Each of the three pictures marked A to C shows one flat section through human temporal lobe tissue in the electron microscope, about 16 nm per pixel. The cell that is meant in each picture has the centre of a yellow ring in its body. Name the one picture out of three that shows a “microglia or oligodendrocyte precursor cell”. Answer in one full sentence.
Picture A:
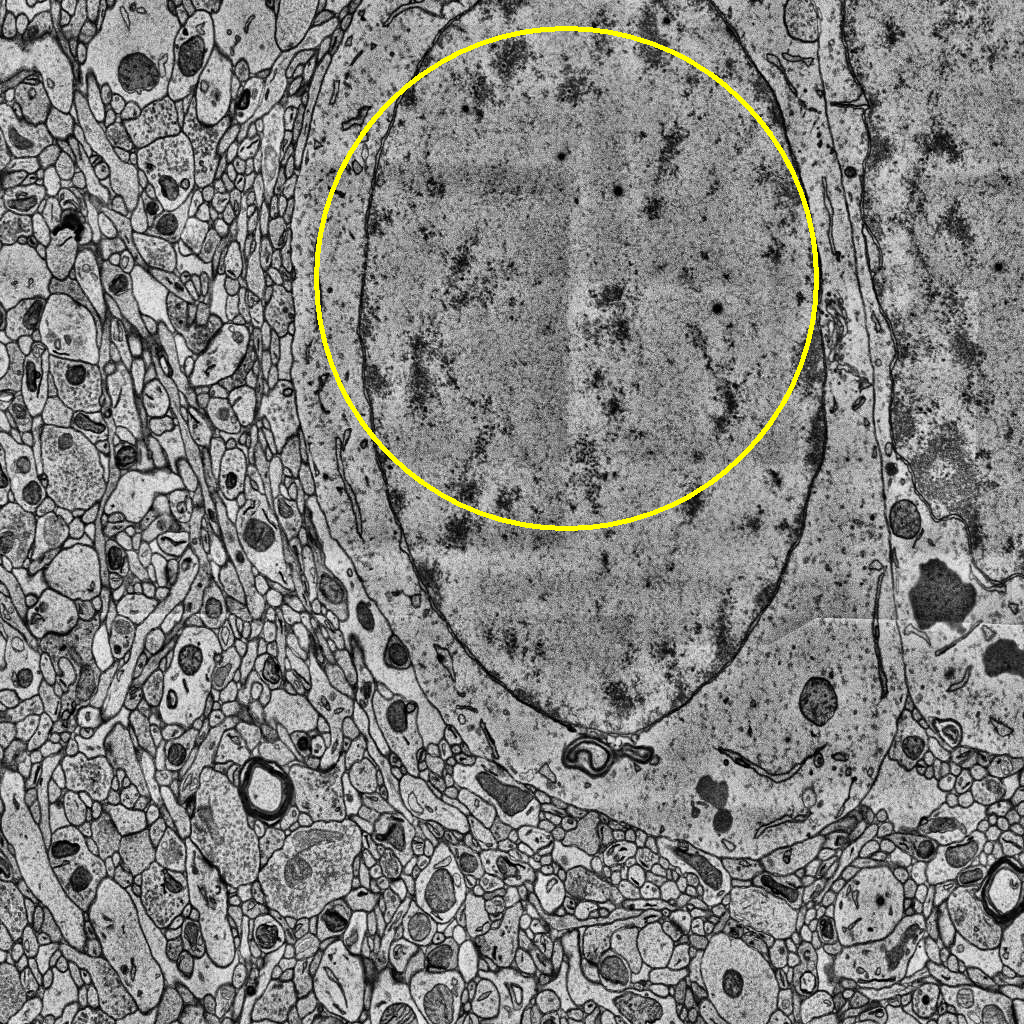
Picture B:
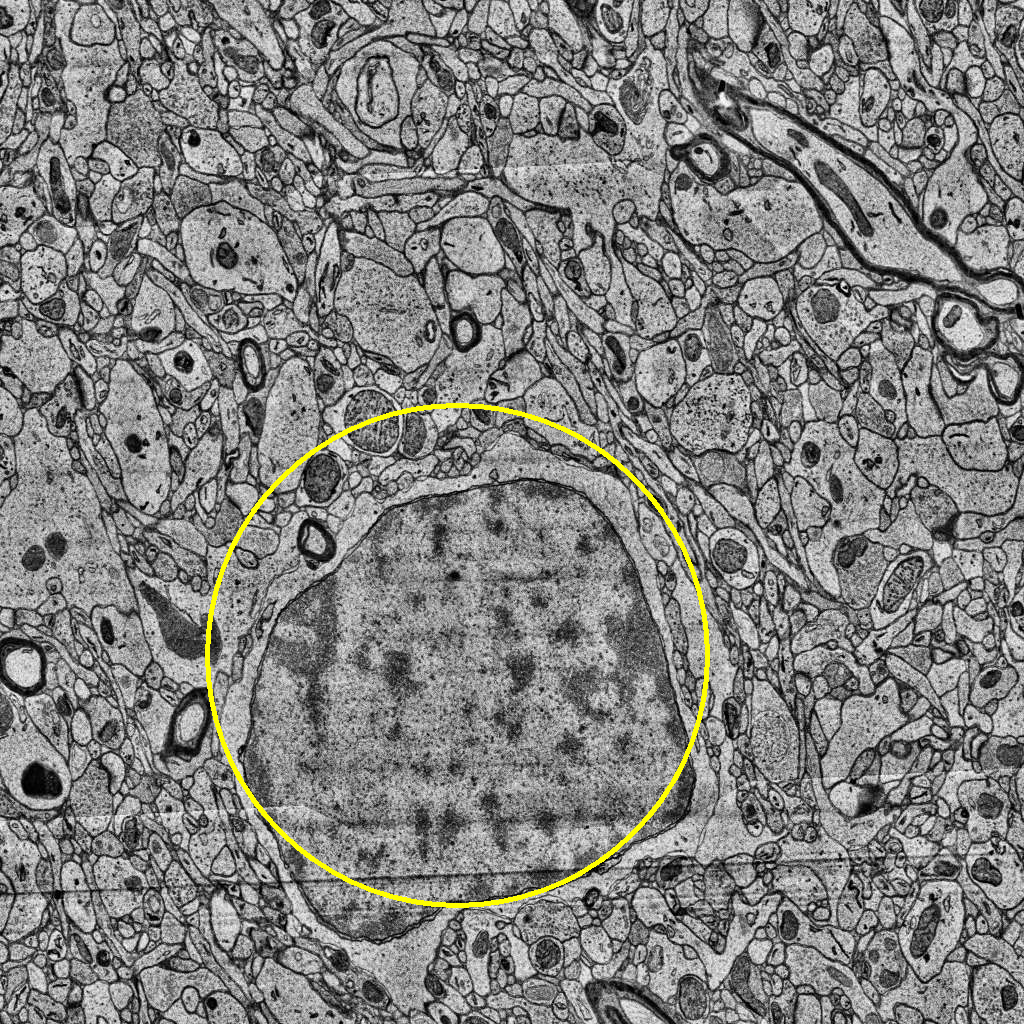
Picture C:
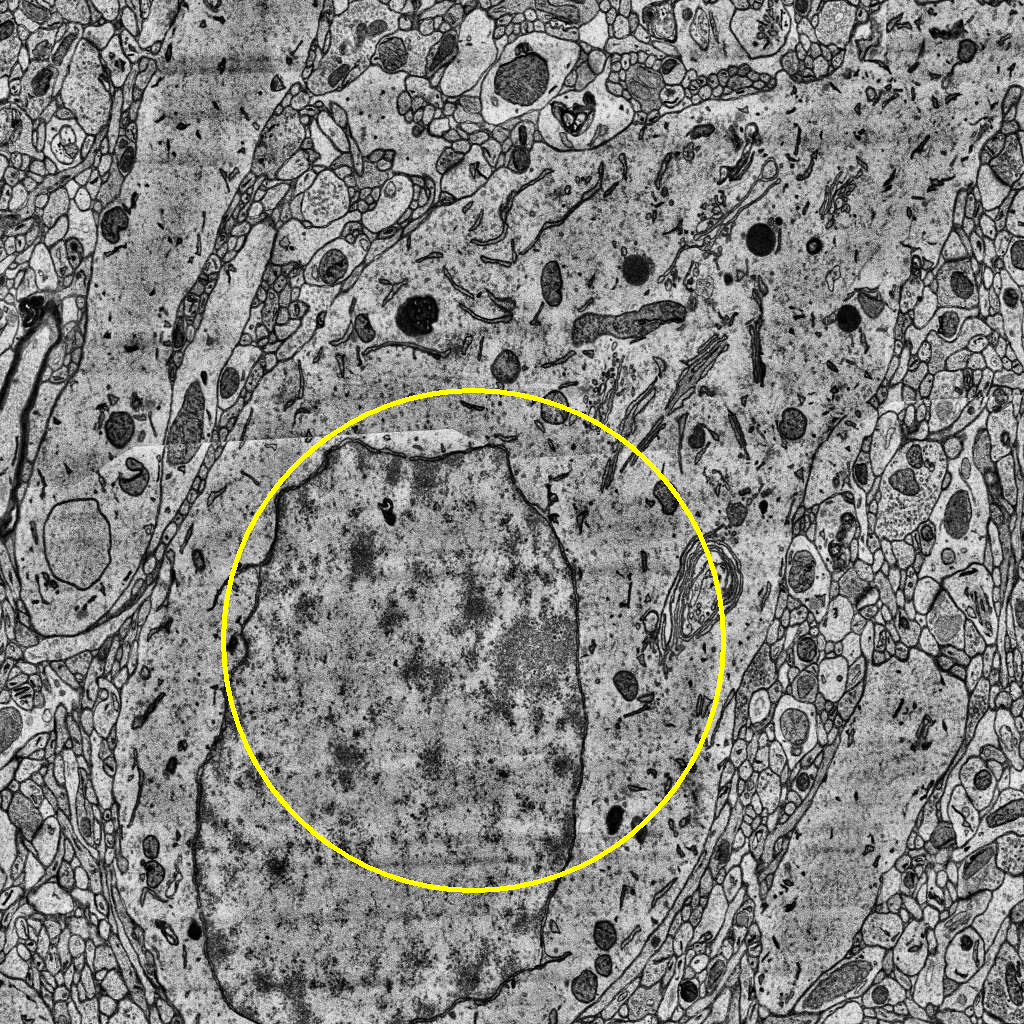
The picture with the “microglia or oligodendrocyte precursor cell” is B.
